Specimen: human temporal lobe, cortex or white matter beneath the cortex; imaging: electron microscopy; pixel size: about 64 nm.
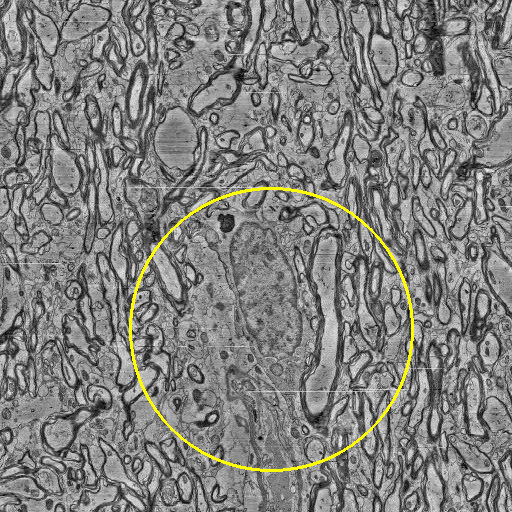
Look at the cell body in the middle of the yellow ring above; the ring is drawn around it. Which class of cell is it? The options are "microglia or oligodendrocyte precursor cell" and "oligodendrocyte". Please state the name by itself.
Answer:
oligodendrocyte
